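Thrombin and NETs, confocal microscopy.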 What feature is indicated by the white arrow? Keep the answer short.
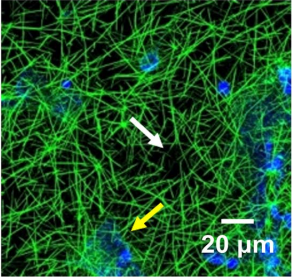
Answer: Large pores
